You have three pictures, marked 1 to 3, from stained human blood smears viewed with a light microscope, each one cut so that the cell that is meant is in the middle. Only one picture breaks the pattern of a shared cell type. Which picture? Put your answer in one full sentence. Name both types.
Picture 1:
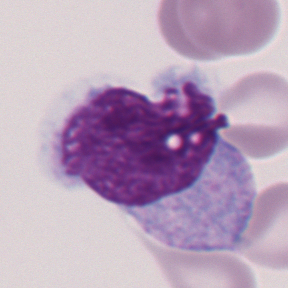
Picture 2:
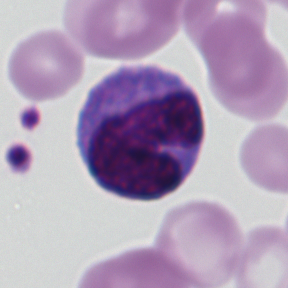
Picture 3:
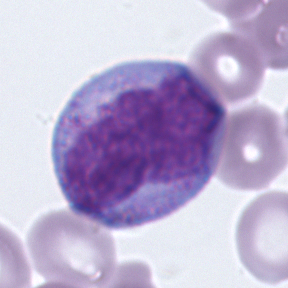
Unlike the rest, which show monocytes, picture 3 shows a promyelocyte.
